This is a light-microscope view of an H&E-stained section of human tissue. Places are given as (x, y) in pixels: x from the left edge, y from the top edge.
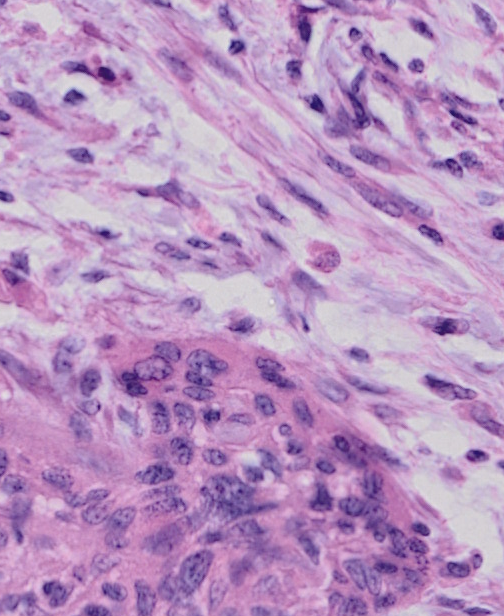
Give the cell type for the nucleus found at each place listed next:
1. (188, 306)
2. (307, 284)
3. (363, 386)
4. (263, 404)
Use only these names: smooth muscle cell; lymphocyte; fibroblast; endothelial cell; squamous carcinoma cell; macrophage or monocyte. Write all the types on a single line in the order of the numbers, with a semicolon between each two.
fibroblast; fibroblast; fibroblast; squamous carcinoma cell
